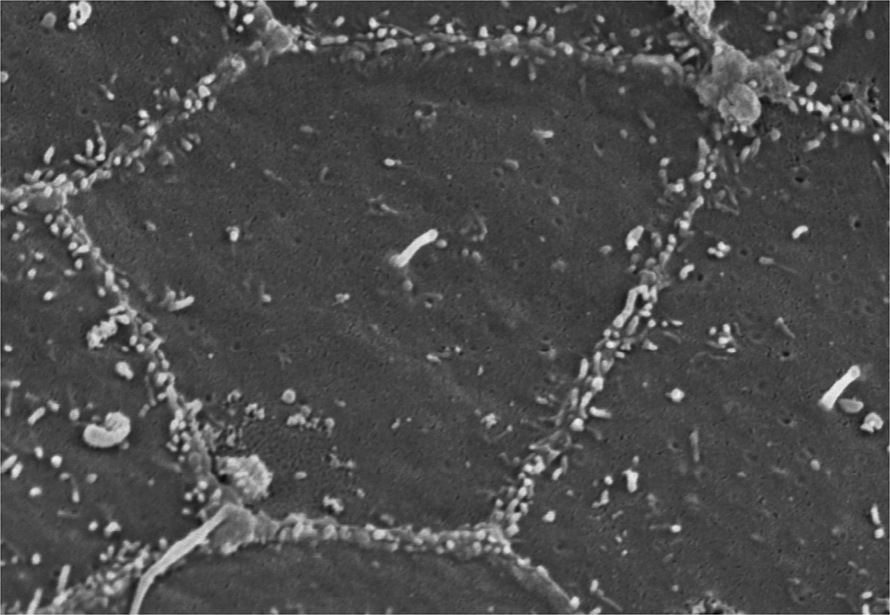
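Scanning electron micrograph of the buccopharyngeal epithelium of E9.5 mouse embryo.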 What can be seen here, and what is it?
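The cell borders stand out as raised lines crowded with short, knob-like and finger-like microvilli. Fewer microvilli are scattered over the smoother, finely pitted central part of each cell. Near the middle of one cell rises a single primary cilium. It is a solitary rod, clearly longer and thicker than the microvilli around it. A similar single rod is seen on a neighbouring cell. Small irregular clumps of surface material lie here and there, especially where several cells meet.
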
